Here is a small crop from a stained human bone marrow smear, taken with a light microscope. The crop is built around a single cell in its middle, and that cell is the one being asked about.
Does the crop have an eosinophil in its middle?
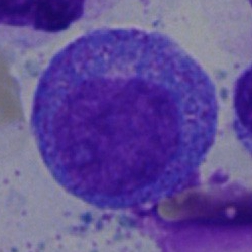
no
